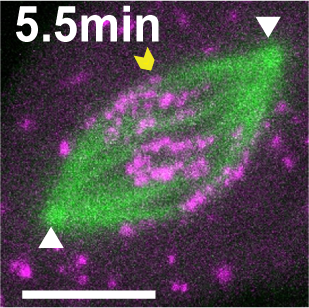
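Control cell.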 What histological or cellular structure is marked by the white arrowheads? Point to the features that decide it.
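The two white arrowheads sit at opposite ends of a spindle-shaped green array. Green fibres converge to a bright focus at each arrowhead.
Hence: spindle poles.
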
